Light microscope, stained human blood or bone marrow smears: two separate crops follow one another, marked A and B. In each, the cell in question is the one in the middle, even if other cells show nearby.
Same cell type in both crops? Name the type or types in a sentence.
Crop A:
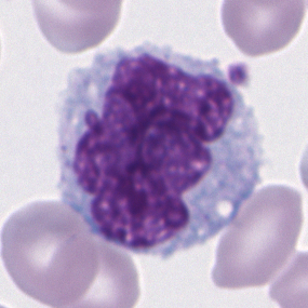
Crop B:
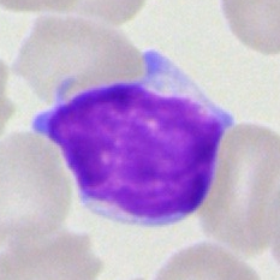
No, crop A shows a monocyte, whereas a lymphocyte is what crop B shows.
